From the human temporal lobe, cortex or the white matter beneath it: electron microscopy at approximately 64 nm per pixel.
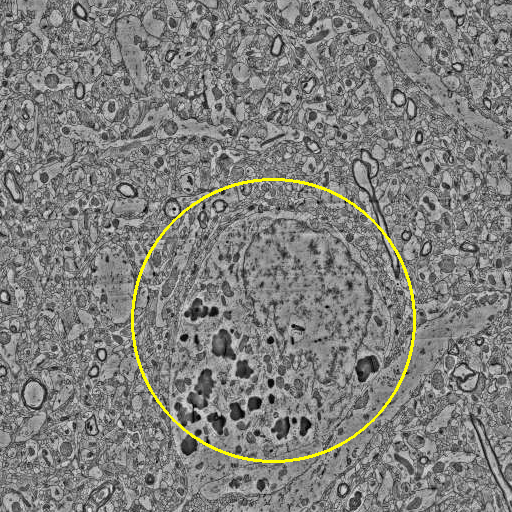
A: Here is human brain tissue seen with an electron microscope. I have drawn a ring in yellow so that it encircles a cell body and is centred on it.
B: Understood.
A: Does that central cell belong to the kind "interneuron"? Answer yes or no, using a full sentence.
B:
Yes, the central cell inside your yellow ring belongs to that kind.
